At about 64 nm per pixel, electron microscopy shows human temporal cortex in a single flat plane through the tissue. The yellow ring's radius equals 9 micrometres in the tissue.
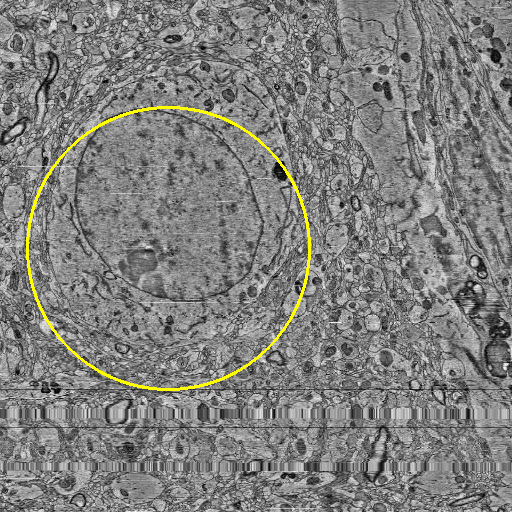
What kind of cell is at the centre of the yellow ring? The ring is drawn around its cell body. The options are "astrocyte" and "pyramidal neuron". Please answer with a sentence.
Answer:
The yellow ring marks the cell body of a pyramidal neuron.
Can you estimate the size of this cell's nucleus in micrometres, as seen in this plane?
Roughly 14 micrometres by 12 micrometres, in this plane.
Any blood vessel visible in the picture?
Yes, one shows.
